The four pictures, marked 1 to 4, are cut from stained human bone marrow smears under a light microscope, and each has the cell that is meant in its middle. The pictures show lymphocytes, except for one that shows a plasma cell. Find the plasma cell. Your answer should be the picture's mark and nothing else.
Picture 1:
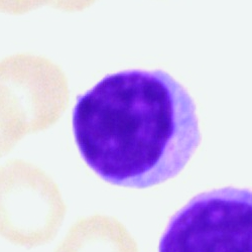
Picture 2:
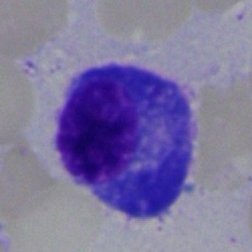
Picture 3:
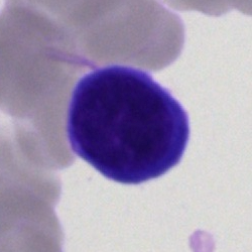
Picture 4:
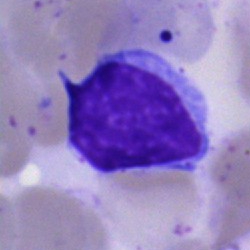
2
